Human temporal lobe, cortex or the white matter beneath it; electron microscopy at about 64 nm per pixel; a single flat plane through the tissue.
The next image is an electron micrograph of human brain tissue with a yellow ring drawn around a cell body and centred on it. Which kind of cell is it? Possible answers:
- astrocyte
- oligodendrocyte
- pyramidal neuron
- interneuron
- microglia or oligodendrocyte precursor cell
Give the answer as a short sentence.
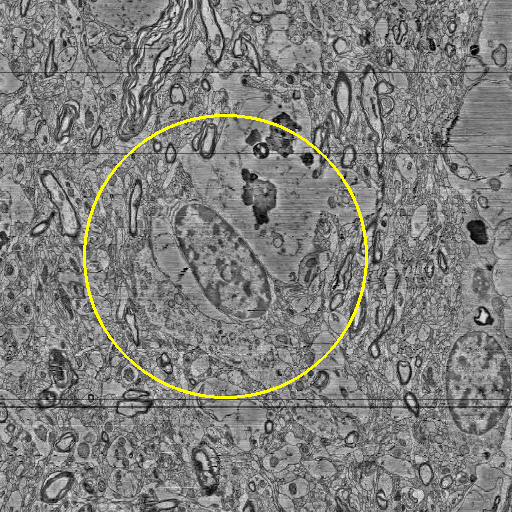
In the ring's centre is a microglial cell or oligodendrocyte precursor cell.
